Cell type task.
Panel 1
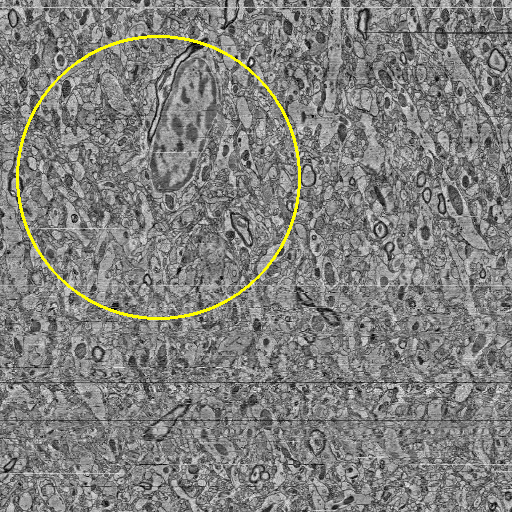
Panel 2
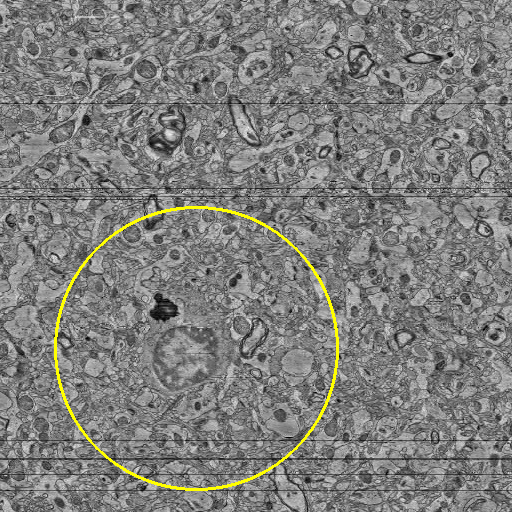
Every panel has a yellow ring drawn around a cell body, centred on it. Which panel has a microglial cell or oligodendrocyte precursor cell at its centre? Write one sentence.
It sits at the centre of the ring in Panel 1.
